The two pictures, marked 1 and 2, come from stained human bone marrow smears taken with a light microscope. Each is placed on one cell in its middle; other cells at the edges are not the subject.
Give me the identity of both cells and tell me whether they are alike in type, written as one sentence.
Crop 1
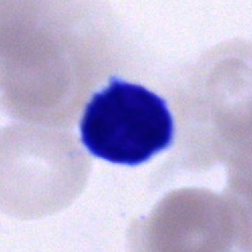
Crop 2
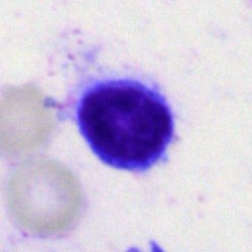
Yes, lymphocytes are present at the centre of both crops.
